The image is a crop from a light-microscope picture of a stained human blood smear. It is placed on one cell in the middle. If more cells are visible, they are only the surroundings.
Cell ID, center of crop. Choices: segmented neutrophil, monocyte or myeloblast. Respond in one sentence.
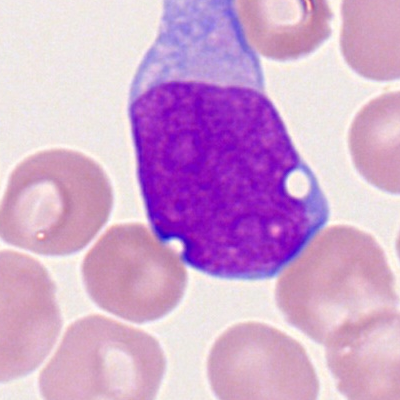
The cell around which this crop is centred is a myeloblast.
